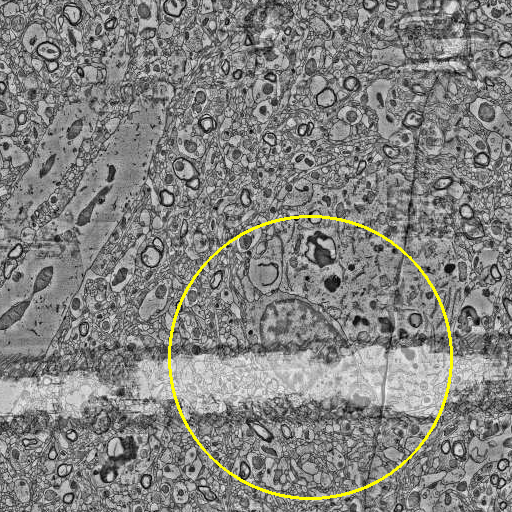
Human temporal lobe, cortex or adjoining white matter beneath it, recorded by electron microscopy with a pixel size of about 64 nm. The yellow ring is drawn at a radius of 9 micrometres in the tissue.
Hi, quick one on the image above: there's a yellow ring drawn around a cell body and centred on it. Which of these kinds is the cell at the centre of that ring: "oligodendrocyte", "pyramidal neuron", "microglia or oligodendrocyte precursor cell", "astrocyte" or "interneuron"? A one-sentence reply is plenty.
The cell at the centre of the ring is an oligodendrocyte.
